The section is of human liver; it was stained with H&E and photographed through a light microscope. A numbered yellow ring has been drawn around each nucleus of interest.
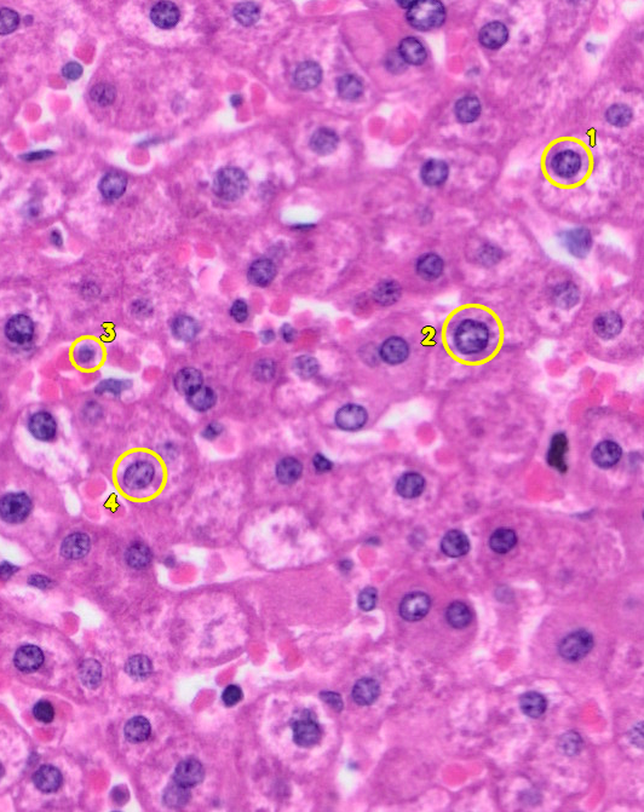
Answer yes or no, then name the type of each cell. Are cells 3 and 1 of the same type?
No, cell 3 is a lymphocyte and cell 1 is a hepatocyte.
